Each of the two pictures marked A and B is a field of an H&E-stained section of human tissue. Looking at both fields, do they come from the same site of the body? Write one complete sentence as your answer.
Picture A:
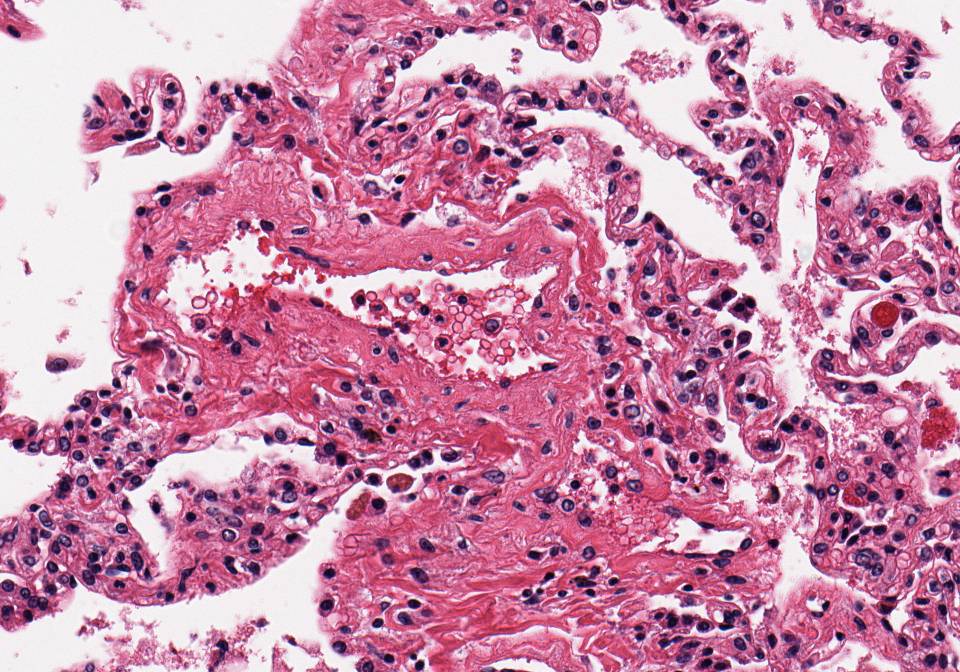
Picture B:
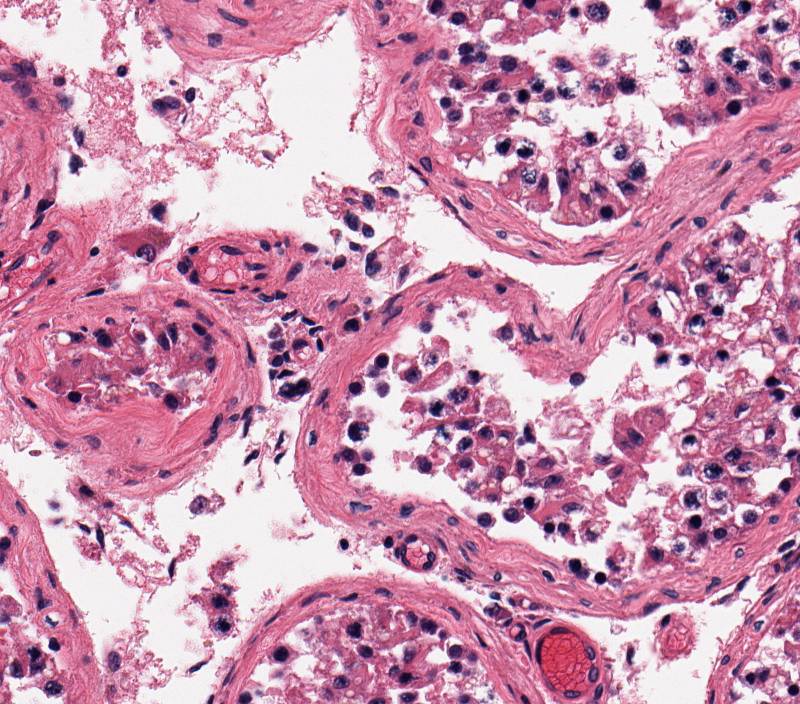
No. Picture A comes from the lung, whereas picture B comes from the testis.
